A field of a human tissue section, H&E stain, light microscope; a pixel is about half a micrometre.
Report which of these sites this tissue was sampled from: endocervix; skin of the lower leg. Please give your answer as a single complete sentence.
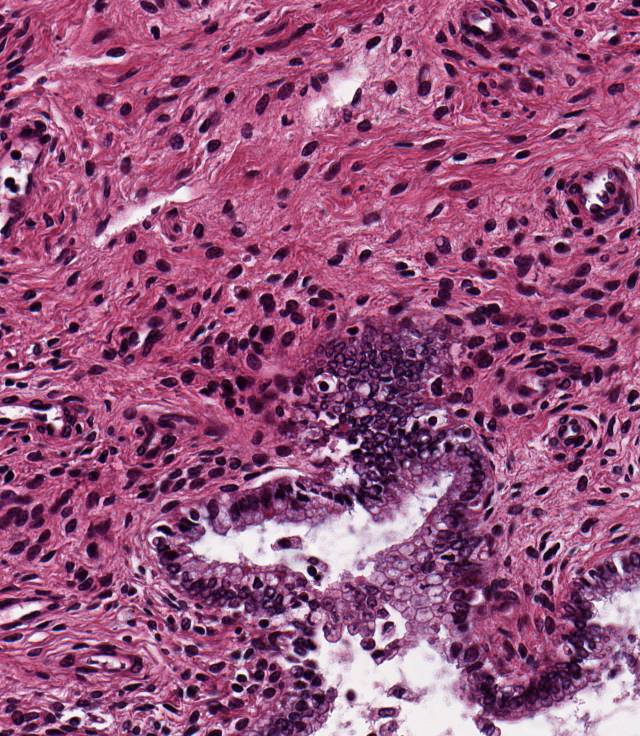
This section of tissue was taken from the endocervix.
